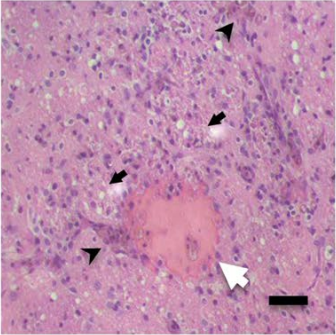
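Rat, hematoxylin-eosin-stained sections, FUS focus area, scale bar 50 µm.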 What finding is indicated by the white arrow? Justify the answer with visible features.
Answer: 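The white arrow points to a rounded, homogeneous pink-red area. This area is much larger than the surrounding cells and contains almost no nuclei. That points to this answer: fibrin deposition/hematoma.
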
